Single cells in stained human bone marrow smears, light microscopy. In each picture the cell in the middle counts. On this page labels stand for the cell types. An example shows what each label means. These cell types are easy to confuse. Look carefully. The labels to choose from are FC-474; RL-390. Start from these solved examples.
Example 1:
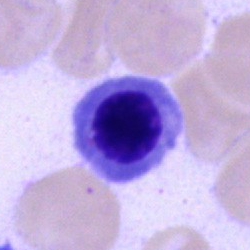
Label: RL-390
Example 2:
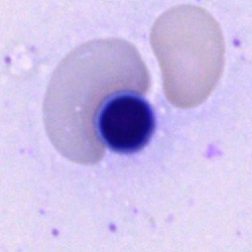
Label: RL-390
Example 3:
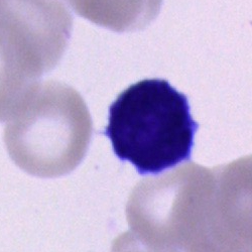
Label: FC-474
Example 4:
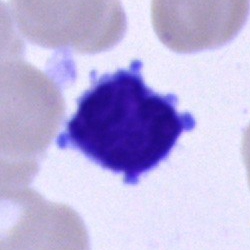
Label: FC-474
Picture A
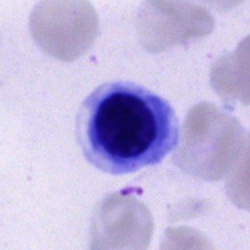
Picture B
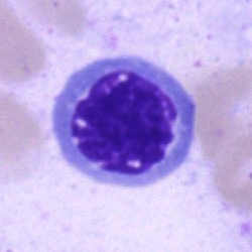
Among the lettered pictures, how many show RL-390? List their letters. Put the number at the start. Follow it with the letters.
Count: 2 (A, B)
